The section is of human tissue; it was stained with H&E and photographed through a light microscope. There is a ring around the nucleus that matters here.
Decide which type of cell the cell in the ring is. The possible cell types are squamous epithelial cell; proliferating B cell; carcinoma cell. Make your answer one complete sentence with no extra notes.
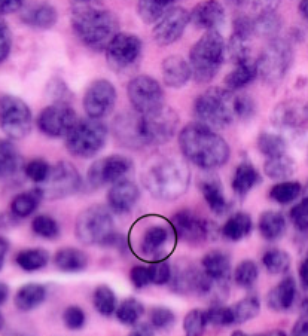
On this particular slide, the cell in the ring is a proliferating B cell.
